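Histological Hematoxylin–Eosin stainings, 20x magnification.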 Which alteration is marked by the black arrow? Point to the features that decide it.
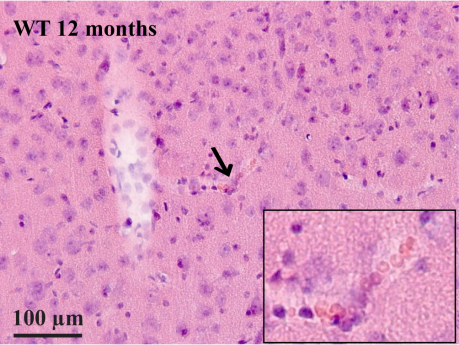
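The inset shows a chain of small round pale-red discs without nuclei. Purple nuclei lie beside the chain of discs. So: Erythrocyte accumulations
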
